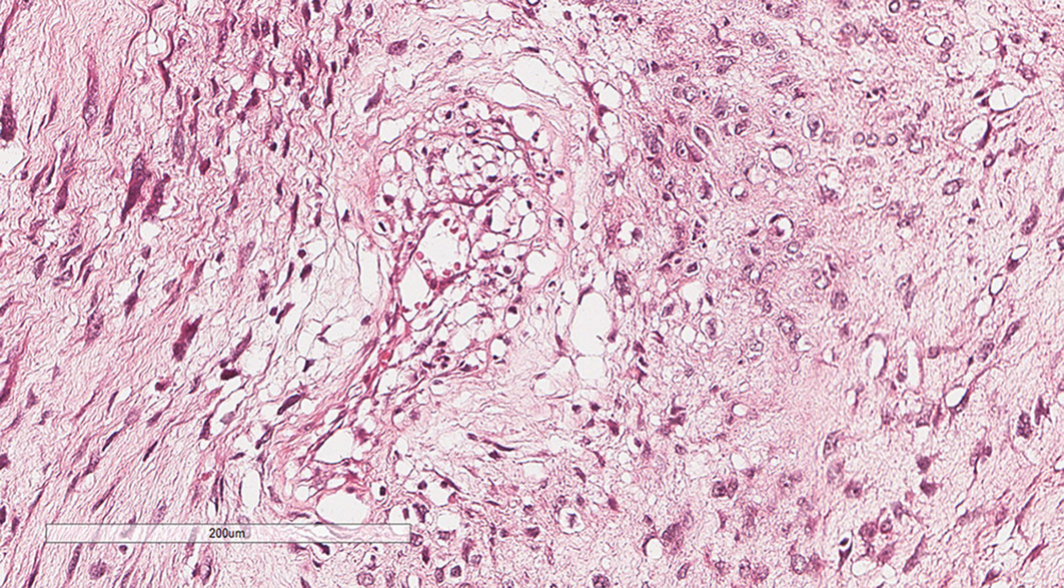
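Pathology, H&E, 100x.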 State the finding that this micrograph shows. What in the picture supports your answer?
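The center has pale, loose, wispy stroma with few fibres.
Conclusion: myxoid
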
